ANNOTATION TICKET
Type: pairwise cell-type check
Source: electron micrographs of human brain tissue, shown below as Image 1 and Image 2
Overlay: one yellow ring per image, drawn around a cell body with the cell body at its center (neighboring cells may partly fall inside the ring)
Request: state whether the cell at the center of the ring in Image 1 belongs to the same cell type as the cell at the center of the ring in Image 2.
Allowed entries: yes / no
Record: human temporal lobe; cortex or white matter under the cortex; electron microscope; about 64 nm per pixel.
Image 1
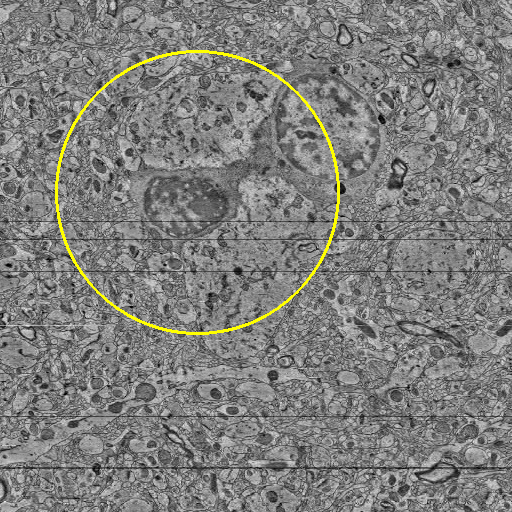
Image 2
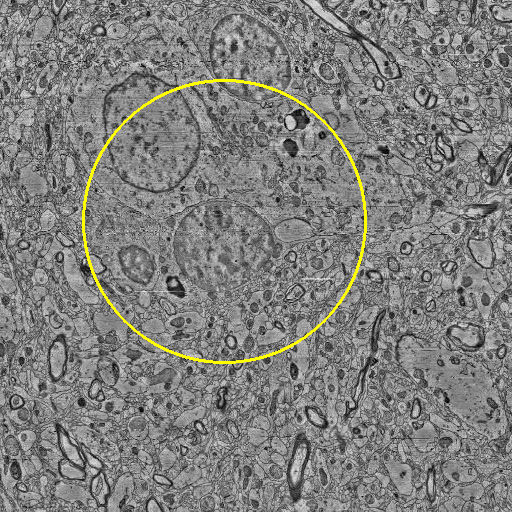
yes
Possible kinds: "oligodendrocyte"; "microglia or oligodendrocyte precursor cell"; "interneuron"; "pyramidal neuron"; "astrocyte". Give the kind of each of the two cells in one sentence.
Both pictures show an oligodendrocyte at the centre of the ring.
